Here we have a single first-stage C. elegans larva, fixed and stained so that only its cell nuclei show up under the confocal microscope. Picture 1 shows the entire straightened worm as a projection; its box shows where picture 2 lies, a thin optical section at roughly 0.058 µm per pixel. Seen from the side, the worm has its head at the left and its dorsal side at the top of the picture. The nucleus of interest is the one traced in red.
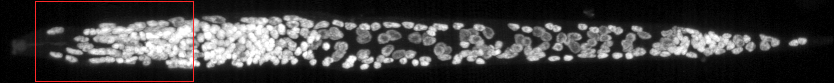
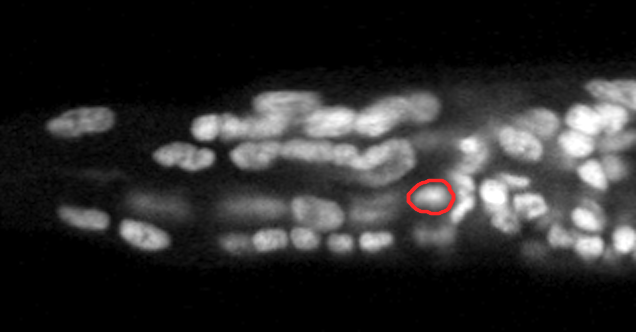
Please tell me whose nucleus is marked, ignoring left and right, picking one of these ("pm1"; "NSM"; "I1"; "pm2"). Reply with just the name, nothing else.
I1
